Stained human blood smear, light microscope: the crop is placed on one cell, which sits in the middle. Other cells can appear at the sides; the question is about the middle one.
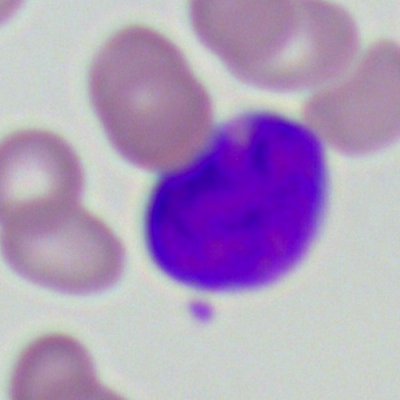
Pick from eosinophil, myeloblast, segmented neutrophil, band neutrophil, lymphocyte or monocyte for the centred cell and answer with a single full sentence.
As for the cell in the middle, it is a myeloblast.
